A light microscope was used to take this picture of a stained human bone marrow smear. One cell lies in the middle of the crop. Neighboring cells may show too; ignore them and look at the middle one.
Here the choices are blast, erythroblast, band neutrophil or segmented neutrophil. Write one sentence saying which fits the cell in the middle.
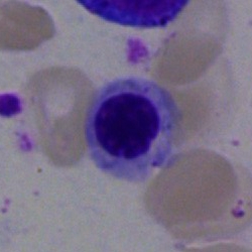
Where the crop is centred, there is an erythroblast.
